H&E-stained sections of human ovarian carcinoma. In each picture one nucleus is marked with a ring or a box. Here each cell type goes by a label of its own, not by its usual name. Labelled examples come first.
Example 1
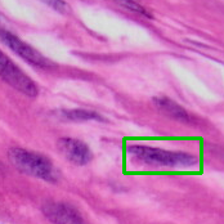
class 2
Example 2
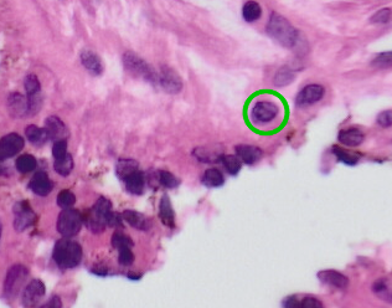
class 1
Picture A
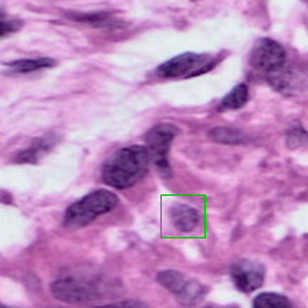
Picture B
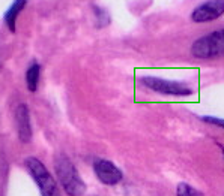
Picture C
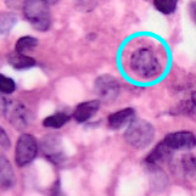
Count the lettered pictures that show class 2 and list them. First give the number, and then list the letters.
1, namely B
